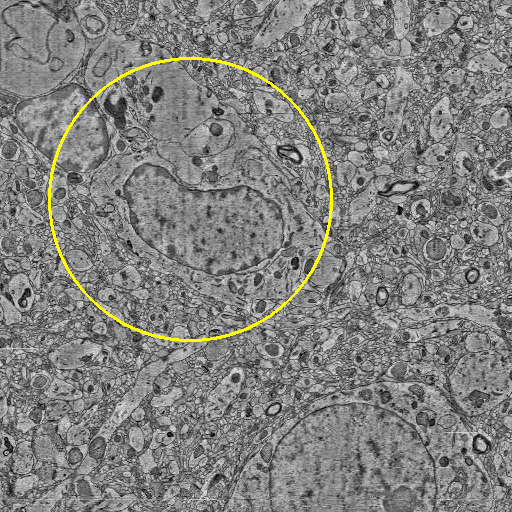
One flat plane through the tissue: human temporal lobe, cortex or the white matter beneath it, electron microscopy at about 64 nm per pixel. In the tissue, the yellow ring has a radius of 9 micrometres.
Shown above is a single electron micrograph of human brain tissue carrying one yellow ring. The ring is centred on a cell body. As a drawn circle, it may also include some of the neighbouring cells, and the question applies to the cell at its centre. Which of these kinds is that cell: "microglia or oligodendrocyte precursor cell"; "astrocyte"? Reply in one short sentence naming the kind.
The cell marked by the ring is a microglial cell or oligodendrocyte precursor cell.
